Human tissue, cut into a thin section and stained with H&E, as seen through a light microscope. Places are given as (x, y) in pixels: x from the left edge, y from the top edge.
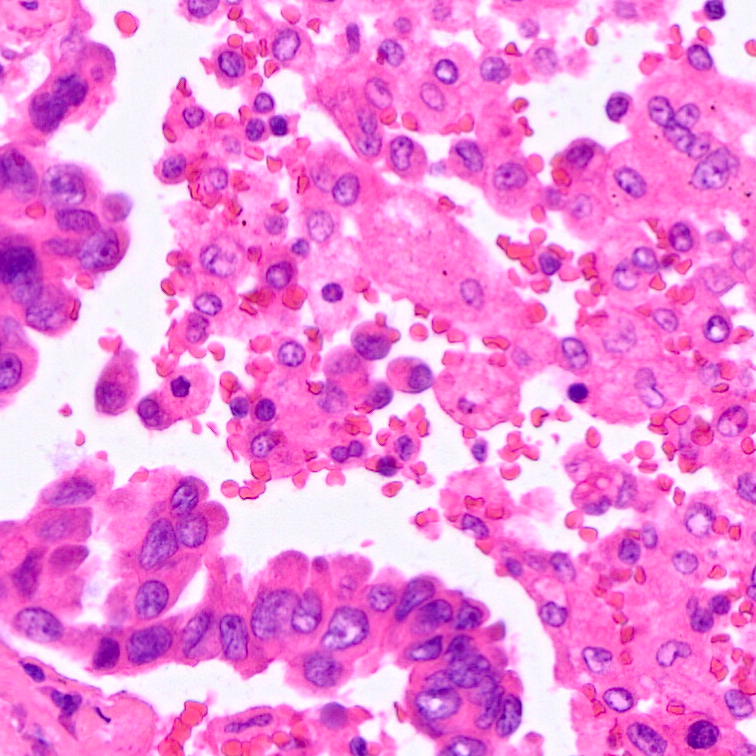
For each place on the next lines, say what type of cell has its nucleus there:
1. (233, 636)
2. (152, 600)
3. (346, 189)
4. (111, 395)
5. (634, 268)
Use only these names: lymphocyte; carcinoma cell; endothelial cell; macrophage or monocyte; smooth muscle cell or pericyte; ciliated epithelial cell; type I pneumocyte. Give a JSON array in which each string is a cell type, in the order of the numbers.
["carcinoma cell", "carcinoma cell", "macrophage or monocyte", "carcinoma cell", "macrophage or monocyte"]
